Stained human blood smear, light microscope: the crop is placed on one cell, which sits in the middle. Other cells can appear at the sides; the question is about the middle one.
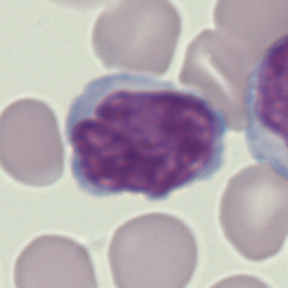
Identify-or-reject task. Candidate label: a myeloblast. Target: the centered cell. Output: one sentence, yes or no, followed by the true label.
Yes, the cell occupying the center is a myeloblast.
